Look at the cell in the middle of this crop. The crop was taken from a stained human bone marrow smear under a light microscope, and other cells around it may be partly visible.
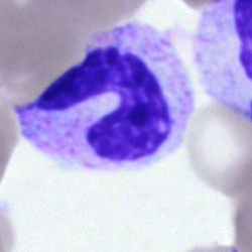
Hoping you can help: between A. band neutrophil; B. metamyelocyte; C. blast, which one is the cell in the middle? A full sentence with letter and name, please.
Option A holds up: the cell in the middle is a band neutrophil.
